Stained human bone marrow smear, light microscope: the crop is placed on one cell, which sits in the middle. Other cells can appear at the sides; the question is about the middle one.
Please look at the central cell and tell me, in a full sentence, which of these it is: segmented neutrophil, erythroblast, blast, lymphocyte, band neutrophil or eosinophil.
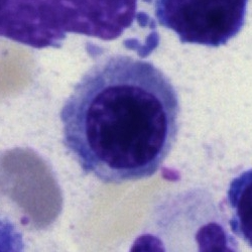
For this crop, the cell in the middle is an erythroblast.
